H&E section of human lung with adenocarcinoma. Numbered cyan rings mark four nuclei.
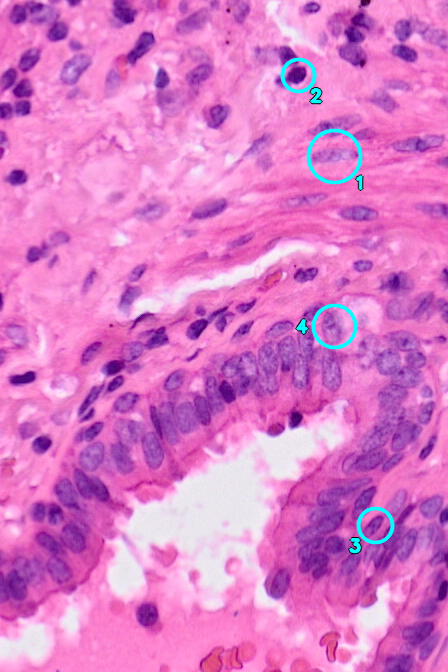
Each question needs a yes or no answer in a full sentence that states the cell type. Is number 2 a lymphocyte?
Yes, the numbered nucleus 2 is that of a lymphocyte.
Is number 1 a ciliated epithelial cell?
No, number 1 belongs to a smooth muscle cell or pericyte, not to a ciliated epithelial cell.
